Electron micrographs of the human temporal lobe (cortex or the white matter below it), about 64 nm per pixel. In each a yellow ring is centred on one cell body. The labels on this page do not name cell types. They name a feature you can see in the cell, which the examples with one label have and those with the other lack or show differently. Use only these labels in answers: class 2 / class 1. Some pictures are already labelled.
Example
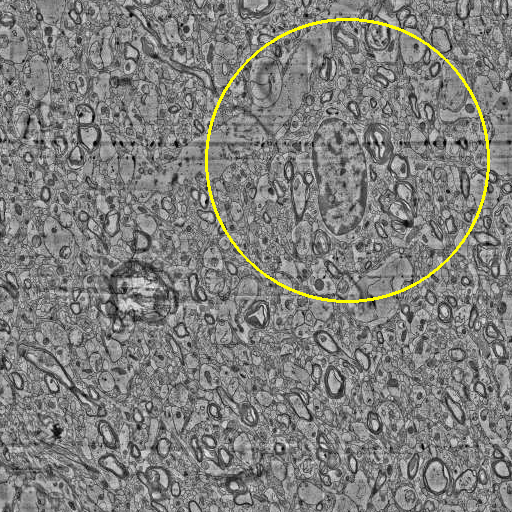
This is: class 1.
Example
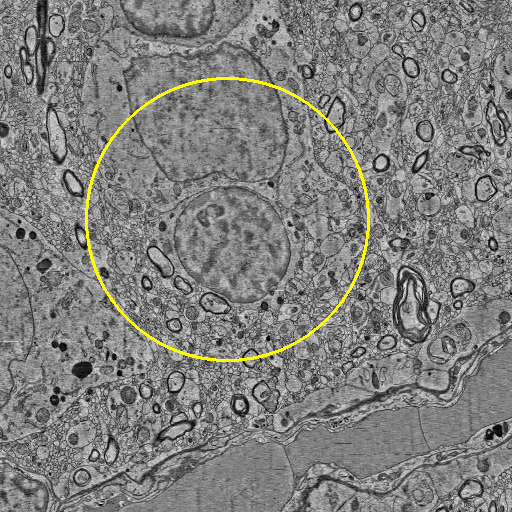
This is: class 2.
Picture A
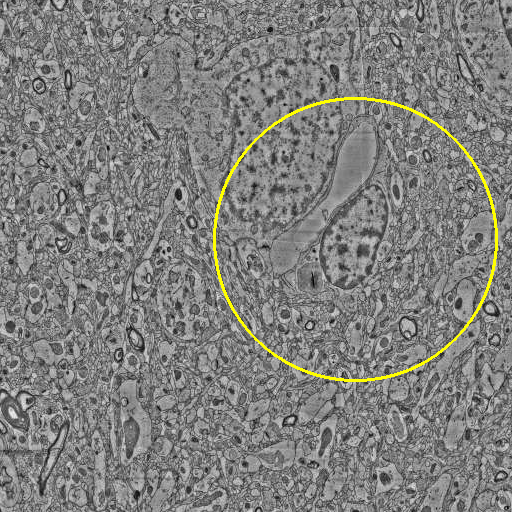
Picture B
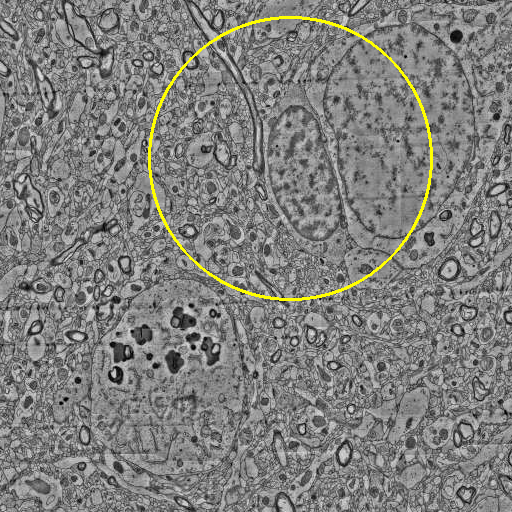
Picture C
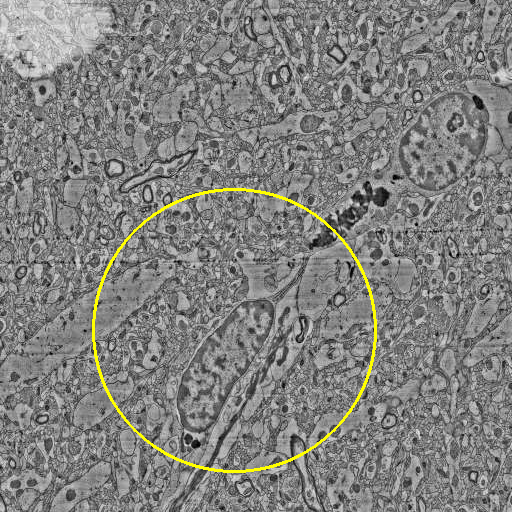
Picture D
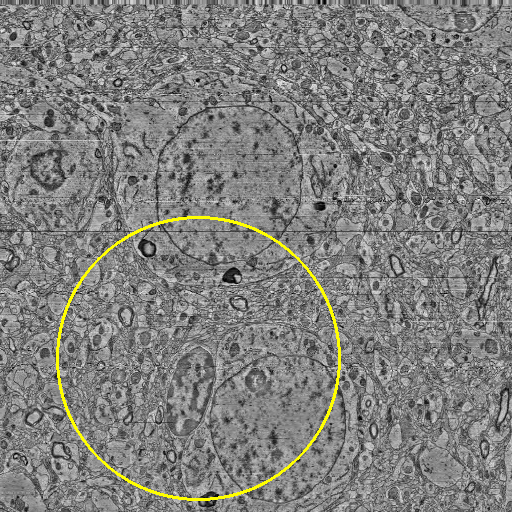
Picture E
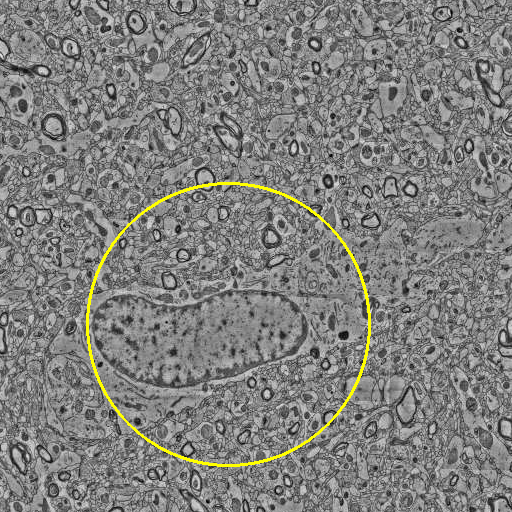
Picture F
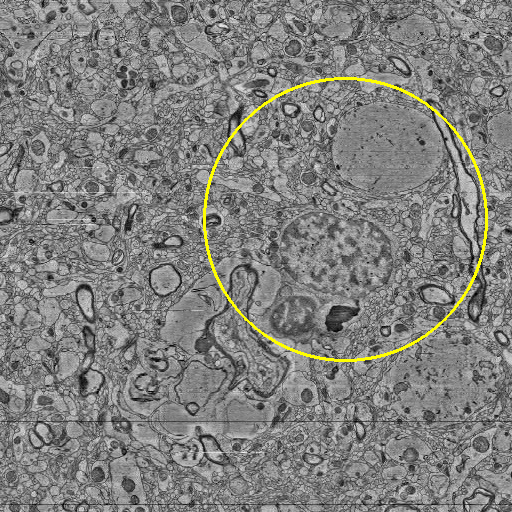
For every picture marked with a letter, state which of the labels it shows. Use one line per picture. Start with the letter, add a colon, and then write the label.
A: class 1.
B: class 1.
C: class 1.
D: class 1.
E: class 1.
F: class 2.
